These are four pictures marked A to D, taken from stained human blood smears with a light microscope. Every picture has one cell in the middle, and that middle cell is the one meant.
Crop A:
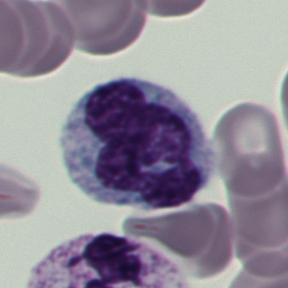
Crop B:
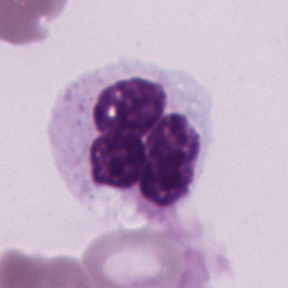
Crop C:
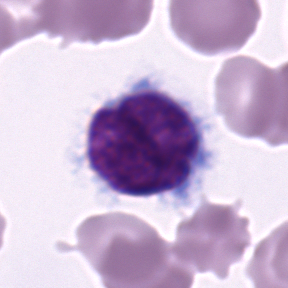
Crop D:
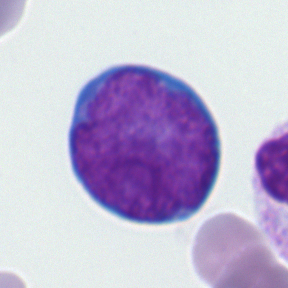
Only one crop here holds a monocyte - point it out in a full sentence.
That would be crop A; it shows a monocyte.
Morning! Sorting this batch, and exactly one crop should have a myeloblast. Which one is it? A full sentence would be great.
The correct choice is crop D, the one showing a myeloblast.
